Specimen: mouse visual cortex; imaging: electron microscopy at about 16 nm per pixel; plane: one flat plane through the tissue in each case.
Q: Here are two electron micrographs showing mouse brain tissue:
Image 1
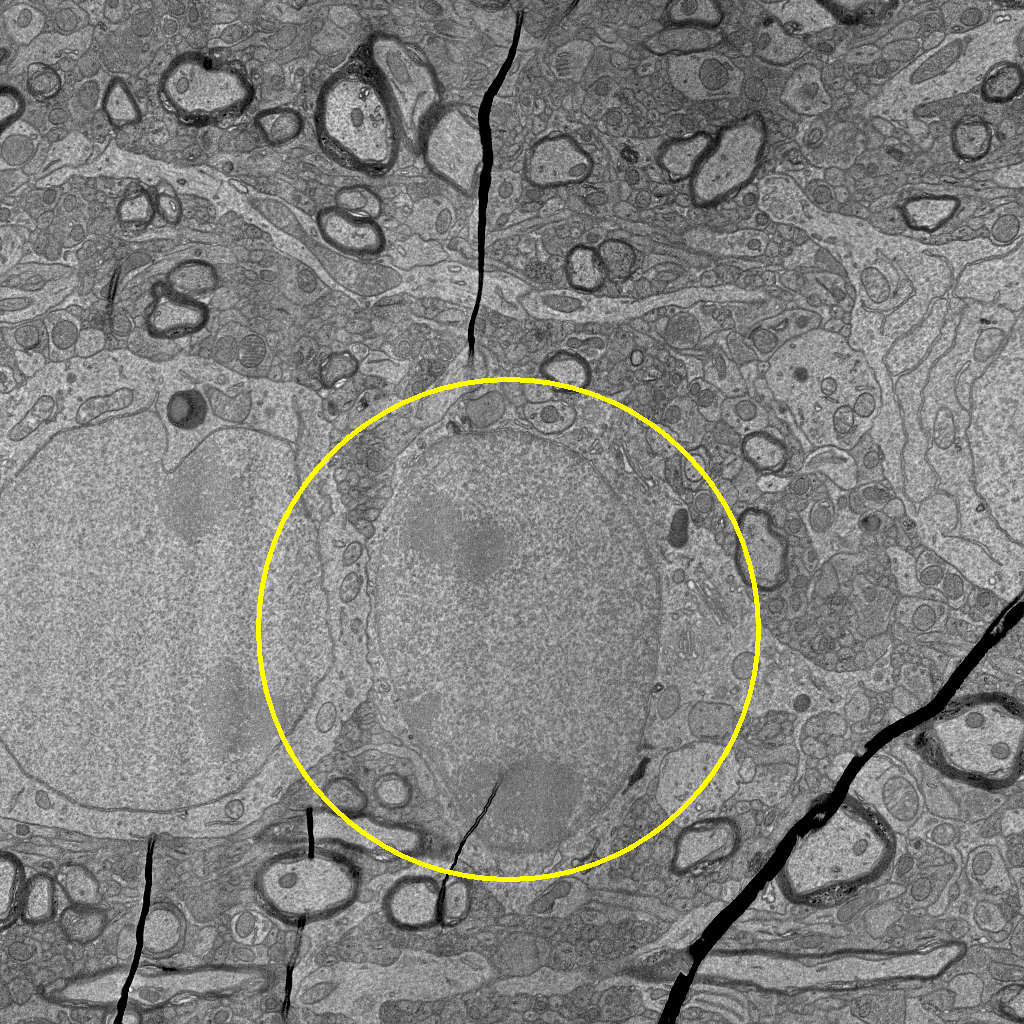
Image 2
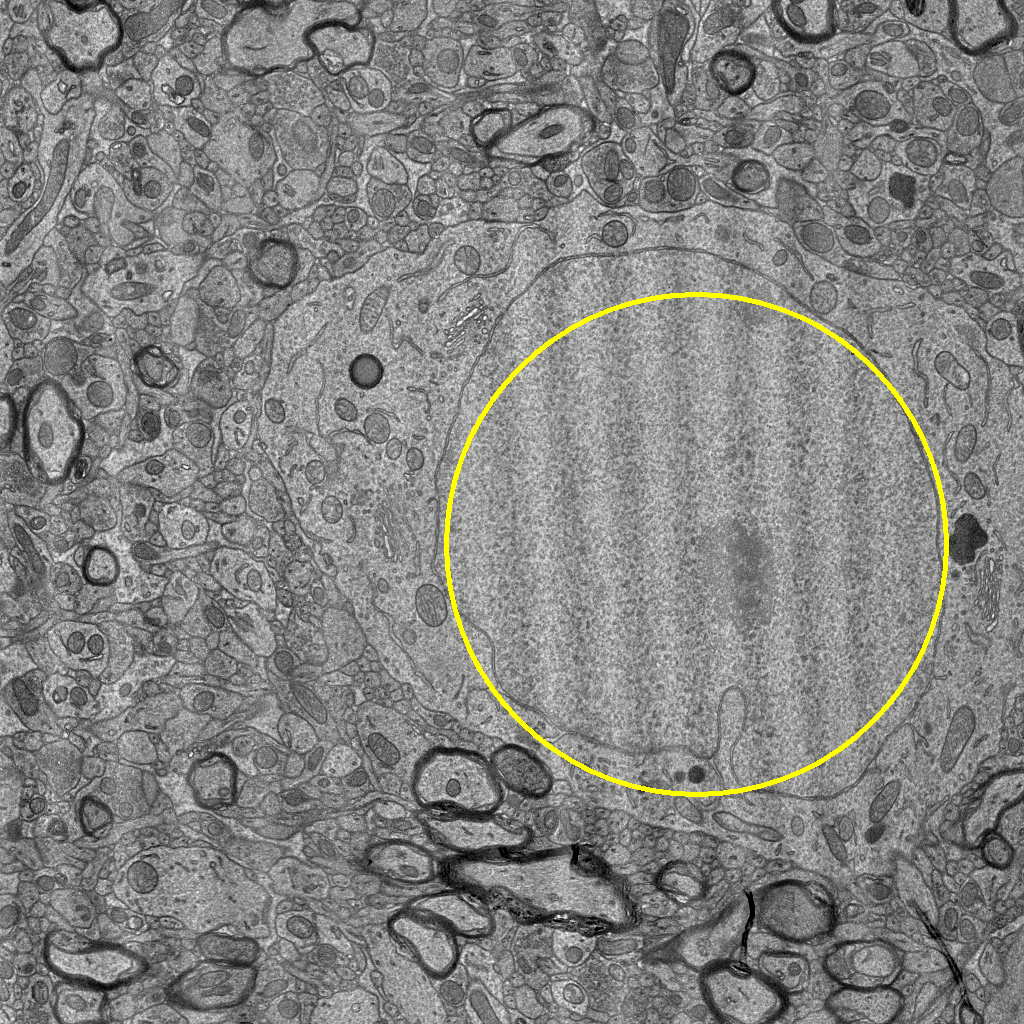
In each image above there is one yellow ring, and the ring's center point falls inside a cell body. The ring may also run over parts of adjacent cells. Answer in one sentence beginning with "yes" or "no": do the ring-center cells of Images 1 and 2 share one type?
No, in Images 1 and 2, the ring-center cells are of two types.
